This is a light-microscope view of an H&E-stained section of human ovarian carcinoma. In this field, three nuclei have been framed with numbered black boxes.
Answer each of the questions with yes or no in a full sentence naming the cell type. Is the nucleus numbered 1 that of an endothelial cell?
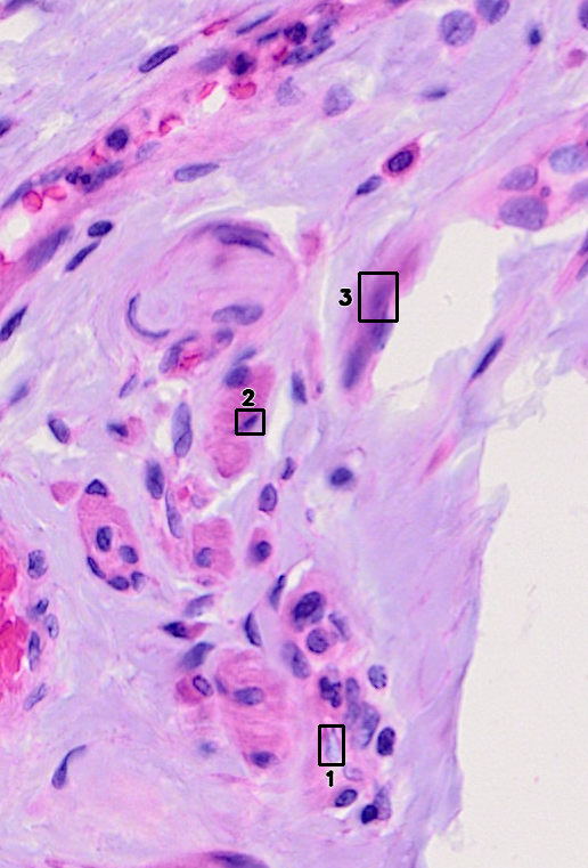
Yes, of the numbered cells, number 1 is an endothelial cell.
